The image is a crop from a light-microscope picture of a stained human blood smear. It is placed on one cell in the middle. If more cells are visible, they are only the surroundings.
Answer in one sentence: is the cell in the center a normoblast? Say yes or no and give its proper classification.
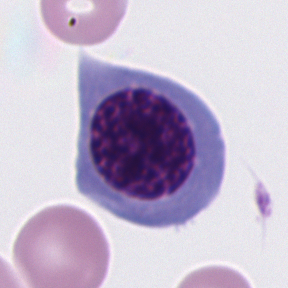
Yes, the central element of the crop is a normoblast.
